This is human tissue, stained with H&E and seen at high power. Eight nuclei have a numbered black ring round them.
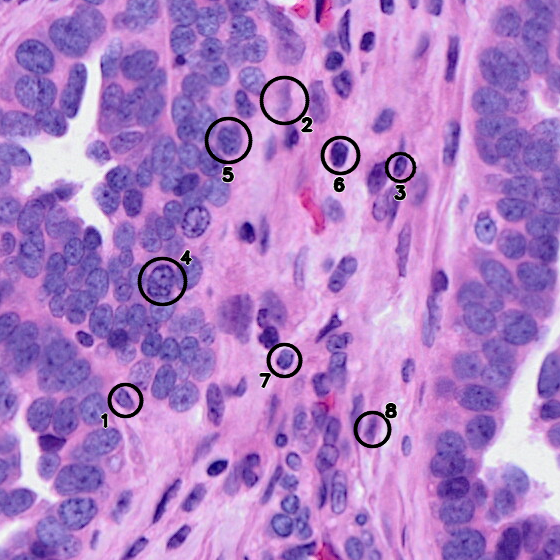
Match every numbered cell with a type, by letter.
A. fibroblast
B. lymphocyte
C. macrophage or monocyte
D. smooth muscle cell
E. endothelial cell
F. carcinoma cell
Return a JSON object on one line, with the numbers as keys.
{"1": "C", "2": "A", "3": "B", "4": "F", "5": "F", "6": "B", "7": "B", "8": "A"}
